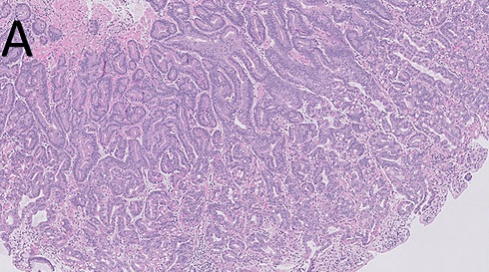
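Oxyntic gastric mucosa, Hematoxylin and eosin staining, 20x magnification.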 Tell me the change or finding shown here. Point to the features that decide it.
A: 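Proliferation of branching glands. Crowded, closely packed glands fill most of the field. Many glands are irregular and branching with little stroma between them.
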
